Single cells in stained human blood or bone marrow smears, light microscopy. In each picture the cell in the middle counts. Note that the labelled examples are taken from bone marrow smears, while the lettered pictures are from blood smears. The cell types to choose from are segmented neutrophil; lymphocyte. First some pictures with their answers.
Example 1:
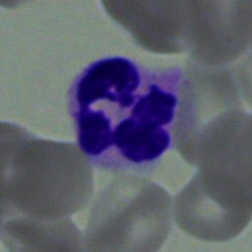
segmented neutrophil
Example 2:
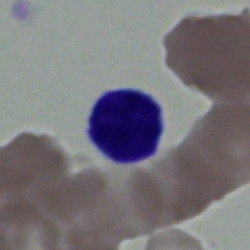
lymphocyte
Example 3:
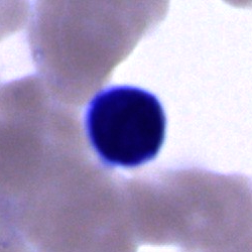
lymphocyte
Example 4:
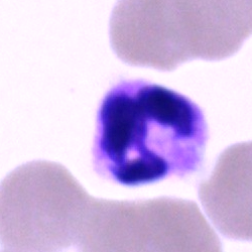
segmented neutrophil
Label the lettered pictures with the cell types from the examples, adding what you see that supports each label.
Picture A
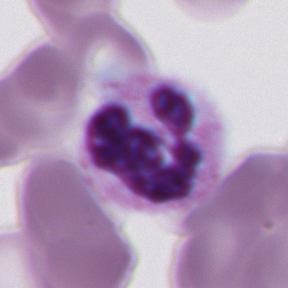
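Label: segmented neutrophil. The nucleus is divided into several separate lobes.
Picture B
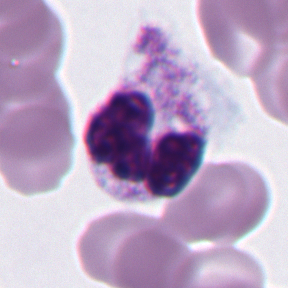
Label: segmented neutrophil. The cytoplasm between the granules is pale and nearly colourless.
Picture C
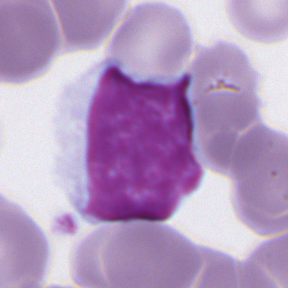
Label: lymphocyte. The nucleus fills most of the cell, and the cytoplasm forms a band mainly on its left side.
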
